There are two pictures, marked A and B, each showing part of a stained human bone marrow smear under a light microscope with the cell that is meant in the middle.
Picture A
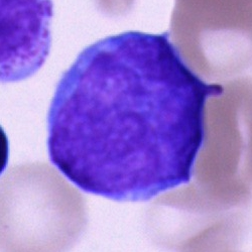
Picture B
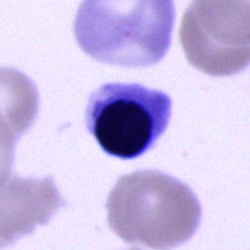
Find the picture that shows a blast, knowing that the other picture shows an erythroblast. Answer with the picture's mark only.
A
